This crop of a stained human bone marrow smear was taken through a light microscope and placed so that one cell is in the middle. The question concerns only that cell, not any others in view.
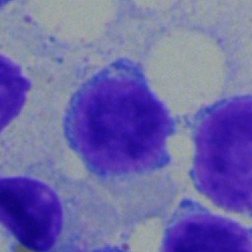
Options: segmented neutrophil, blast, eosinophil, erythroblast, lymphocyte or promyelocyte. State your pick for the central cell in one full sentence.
Here the centrally located cell is a lymphocyte.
